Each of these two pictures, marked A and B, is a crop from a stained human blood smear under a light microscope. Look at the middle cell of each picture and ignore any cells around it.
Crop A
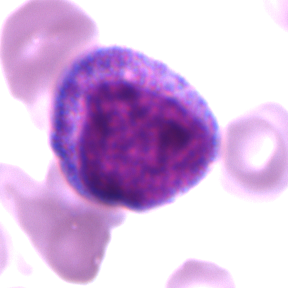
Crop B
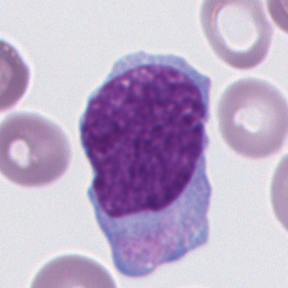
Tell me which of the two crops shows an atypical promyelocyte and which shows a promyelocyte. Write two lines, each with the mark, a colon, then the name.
A: promyelocyte
B: atypical promyelocyte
